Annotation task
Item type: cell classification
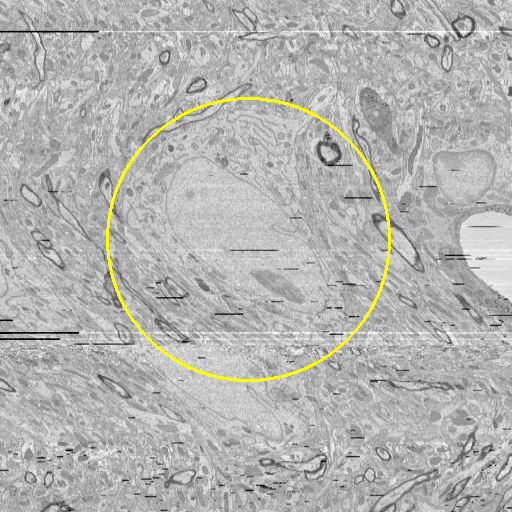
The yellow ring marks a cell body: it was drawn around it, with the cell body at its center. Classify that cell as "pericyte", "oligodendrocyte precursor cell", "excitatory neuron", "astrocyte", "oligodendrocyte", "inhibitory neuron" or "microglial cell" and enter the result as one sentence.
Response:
The ring's center falls on an inhibitory neuron.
